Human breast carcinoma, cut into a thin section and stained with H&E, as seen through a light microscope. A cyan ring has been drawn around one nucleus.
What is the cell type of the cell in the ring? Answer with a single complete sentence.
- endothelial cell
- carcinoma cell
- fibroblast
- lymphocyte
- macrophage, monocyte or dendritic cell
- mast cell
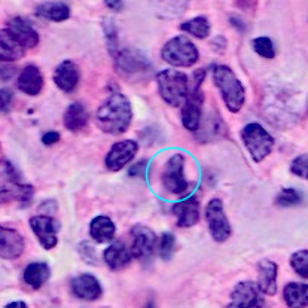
It is a lymphocyte that the cell in the ring represents.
